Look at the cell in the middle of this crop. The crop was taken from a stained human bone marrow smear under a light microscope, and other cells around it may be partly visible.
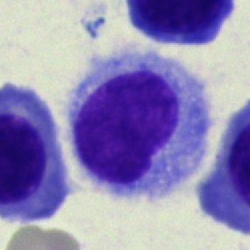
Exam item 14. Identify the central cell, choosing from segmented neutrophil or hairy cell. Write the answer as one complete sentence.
Occupying the centre of the crop is a hairy cell.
